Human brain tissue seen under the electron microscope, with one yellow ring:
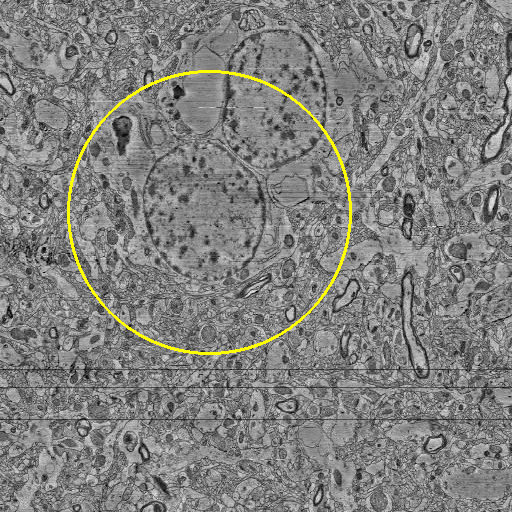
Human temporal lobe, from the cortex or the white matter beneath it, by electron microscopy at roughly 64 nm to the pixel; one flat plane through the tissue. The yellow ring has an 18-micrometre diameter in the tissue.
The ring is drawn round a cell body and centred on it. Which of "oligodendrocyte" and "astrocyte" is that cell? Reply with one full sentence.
The picture shows an astrocyte at the very centre of the yellow ring.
